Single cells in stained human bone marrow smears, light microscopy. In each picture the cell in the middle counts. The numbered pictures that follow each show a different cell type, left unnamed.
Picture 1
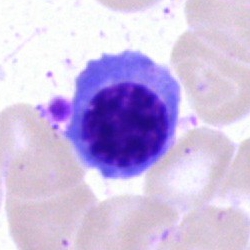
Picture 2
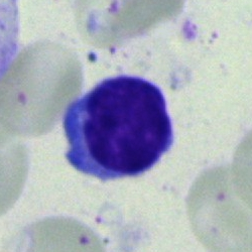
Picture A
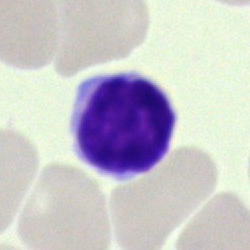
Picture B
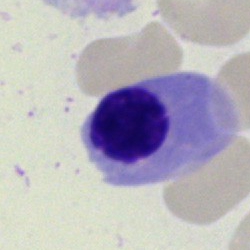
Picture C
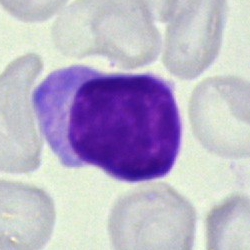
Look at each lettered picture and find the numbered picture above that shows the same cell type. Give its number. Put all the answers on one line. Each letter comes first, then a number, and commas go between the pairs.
A 2, B 1, C 2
